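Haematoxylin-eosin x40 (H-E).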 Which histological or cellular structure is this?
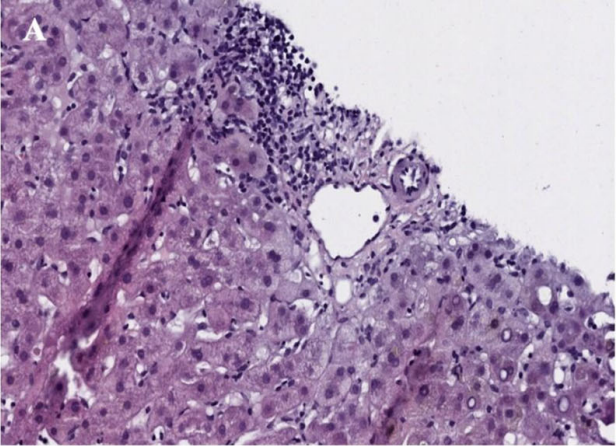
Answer: Portal space.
